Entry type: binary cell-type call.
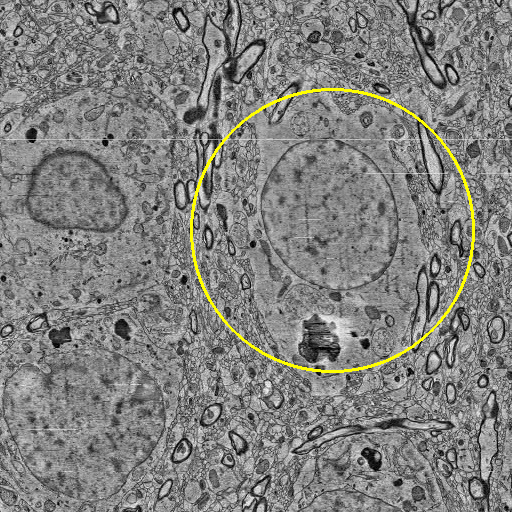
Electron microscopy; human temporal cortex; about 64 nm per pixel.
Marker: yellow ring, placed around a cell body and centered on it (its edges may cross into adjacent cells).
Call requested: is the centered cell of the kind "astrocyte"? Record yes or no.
yes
